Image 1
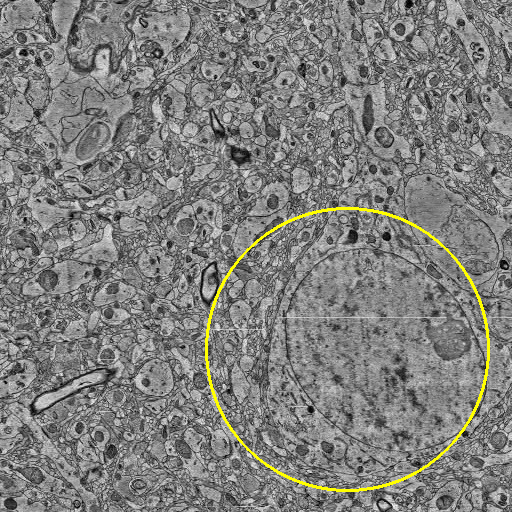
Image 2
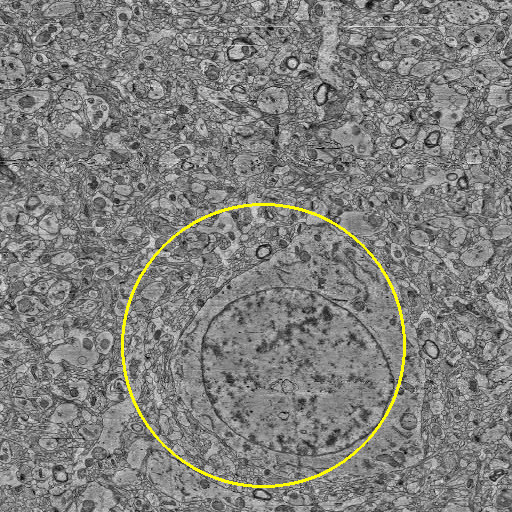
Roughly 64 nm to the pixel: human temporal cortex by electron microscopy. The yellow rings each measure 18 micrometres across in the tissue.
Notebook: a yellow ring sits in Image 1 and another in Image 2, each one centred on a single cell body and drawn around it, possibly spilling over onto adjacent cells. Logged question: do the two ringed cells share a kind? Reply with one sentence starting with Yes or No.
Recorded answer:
Yes, both centre cells inside the rings of Image 1 and Image 2 share one kind.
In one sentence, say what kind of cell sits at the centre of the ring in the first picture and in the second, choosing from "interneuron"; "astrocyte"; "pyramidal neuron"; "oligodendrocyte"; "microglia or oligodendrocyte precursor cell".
Each one of the two ringed cells is a pyramidal neuron.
